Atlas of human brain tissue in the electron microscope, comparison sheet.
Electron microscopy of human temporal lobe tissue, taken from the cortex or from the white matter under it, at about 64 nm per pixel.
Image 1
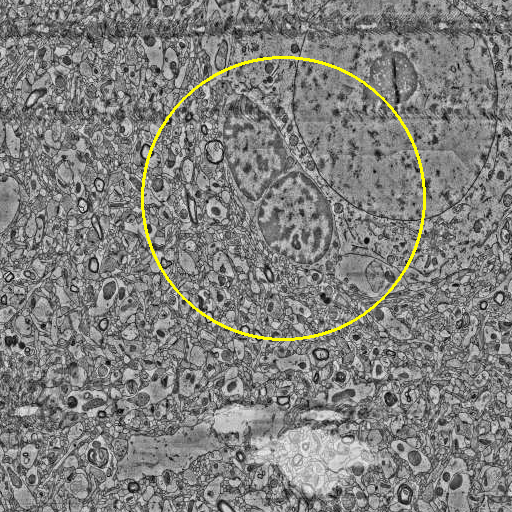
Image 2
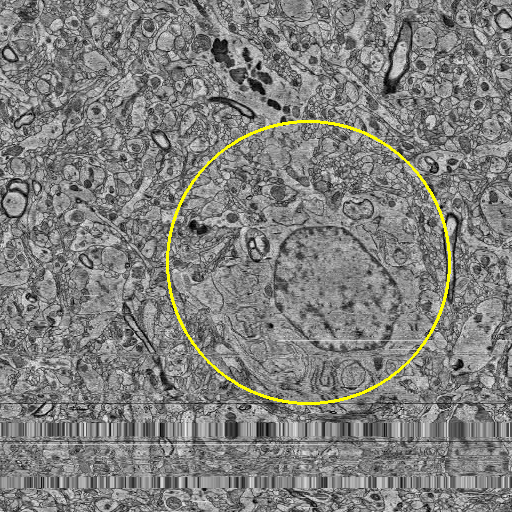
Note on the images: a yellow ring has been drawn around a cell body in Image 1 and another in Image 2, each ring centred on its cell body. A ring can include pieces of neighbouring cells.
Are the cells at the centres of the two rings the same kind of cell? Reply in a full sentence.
No, the two cells are of two kinds.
